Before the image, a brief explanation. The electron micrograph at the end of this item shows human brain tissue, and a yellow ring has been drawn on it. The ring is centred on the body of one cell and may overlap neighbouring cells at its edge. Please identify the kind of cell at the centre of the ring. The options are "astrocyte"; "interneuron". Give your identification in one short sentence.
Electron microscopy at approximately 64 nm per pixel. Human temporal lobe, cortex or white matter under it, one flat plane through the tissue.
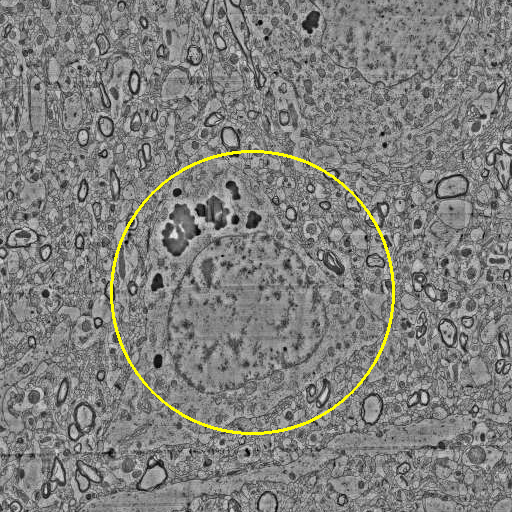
The ring has been placed around an interneuron.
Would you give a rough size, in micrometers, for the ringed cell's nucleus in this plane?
Approximately 10 micrometres across in this plane.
